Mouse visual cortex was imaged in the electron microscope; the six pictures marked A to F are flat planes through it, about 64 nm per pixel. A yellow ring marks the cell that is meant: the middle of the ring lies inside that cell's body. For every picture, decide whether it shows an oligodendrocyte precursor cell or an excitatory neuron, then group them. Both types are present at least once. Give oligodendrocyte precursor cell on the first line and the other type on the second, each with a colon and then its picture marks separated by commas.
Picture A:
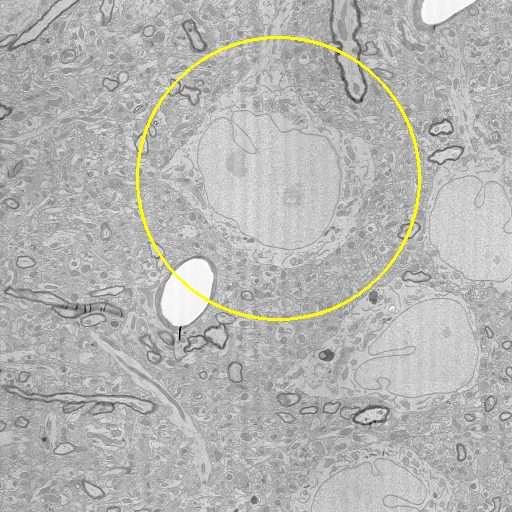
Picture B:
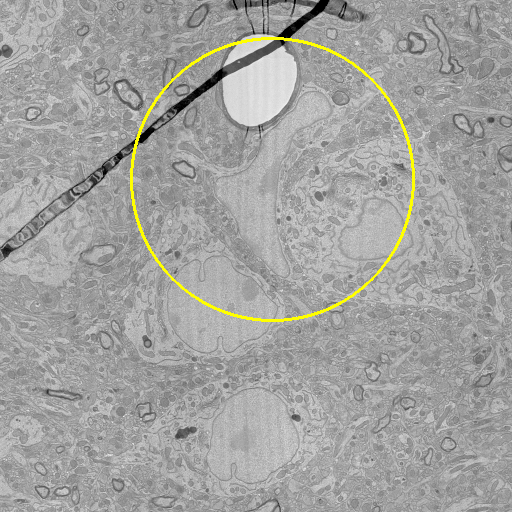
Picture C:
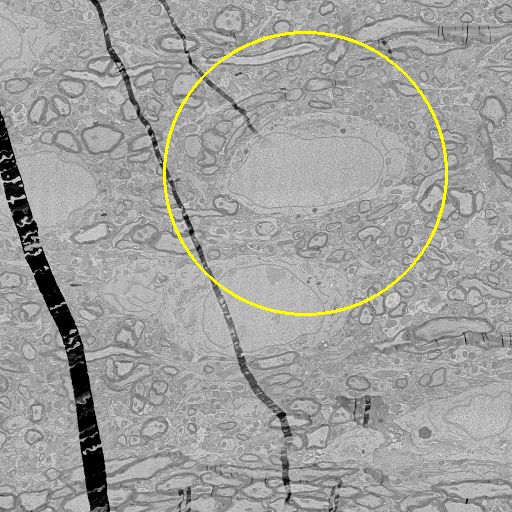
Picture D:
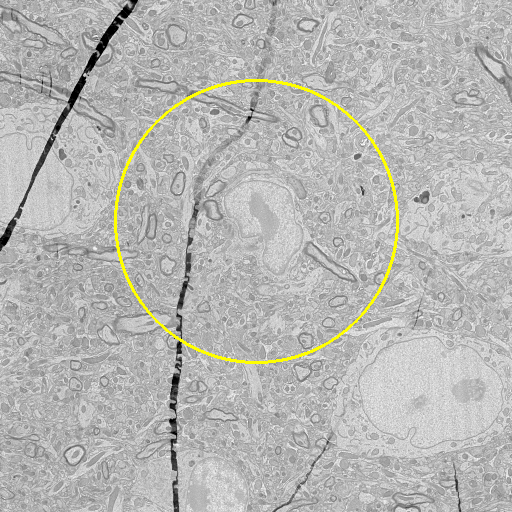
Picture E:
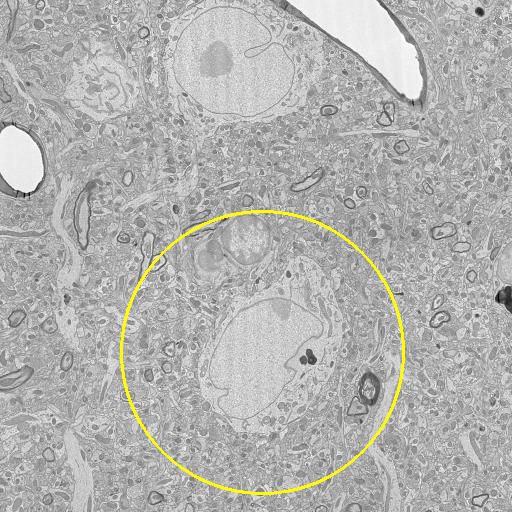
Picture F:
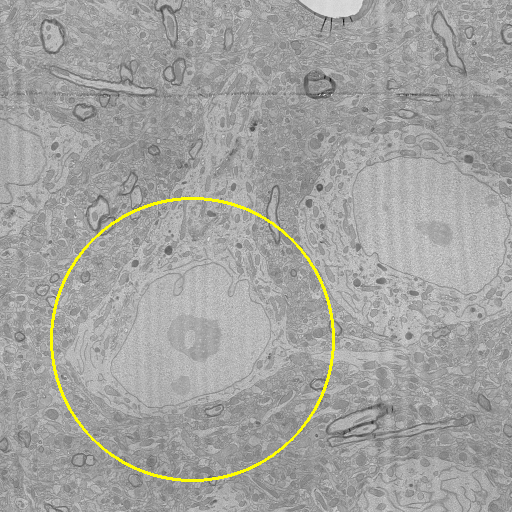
oligodendrocyte precursor cell: B, D
excitatory neuron: A, C, E, F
